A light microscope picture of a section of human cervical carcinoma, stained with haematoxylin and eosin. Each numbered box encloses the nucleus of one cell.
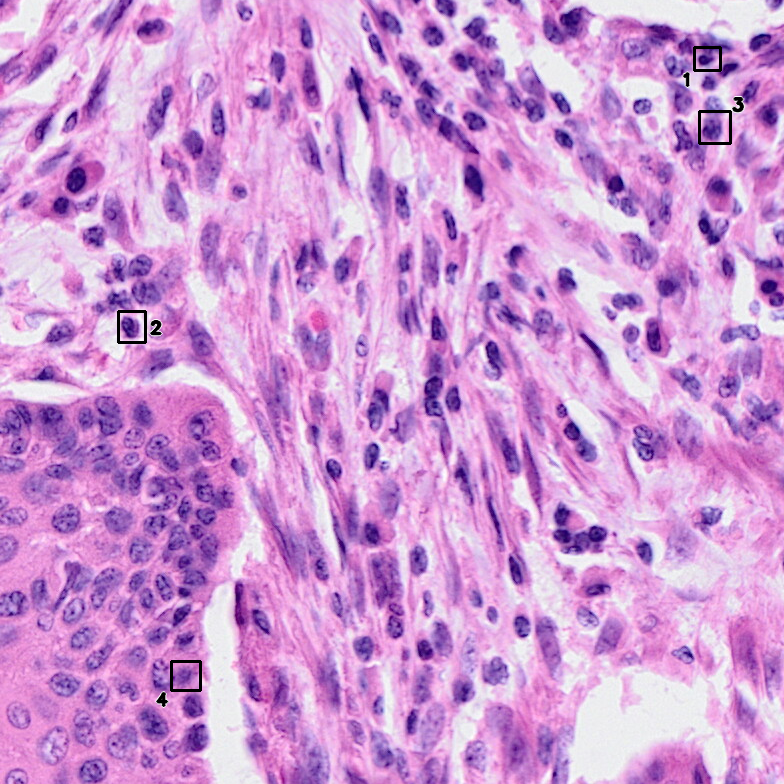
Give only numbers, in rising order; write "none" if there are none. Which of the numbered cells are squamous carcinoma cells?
4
